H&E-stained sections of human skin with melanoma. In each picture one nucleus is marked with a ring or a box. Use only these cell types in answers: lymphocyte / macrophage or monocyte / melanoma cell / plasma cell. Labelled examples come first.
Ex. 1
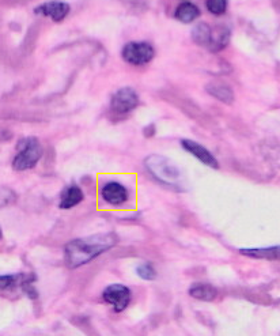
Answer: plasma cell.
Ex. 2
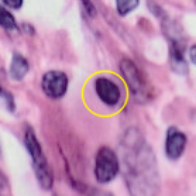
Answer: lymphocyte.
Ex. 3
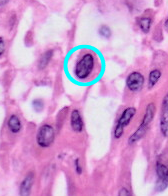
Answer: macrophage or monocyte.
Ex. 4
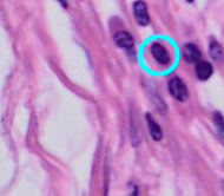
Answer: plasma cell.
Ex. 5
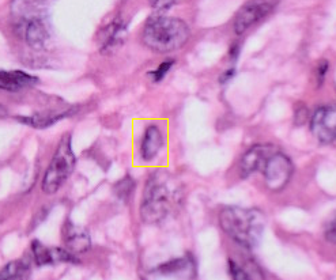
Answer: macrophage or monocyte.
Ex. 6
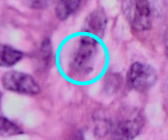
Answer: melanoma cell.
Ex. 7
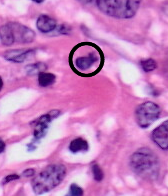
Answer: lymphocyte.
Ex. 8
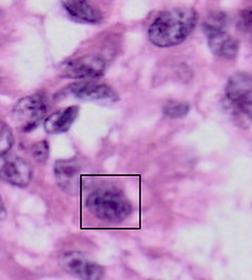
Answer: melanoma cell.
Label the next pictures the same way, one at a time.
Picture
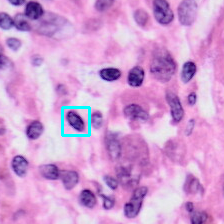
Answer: lymphocyte.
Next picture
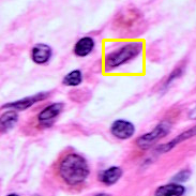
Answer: macrophage or monocyte.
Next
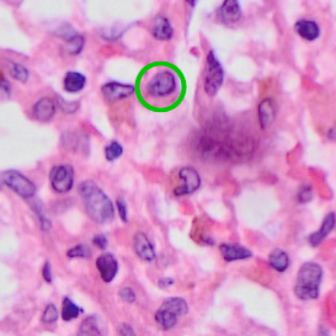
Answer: macrophage or monocyte.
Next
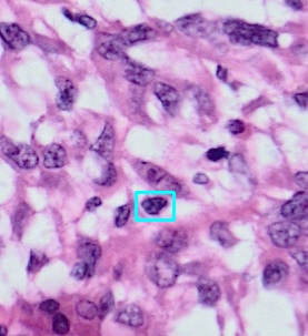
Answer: lymphocyte.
